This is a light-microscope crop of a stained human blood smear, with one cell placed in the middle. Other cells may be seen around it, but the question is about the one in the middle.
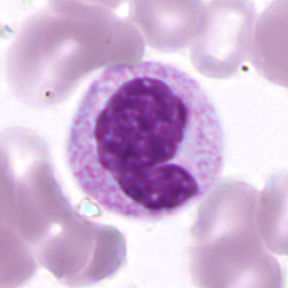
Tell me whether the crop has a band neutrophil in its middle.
yes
